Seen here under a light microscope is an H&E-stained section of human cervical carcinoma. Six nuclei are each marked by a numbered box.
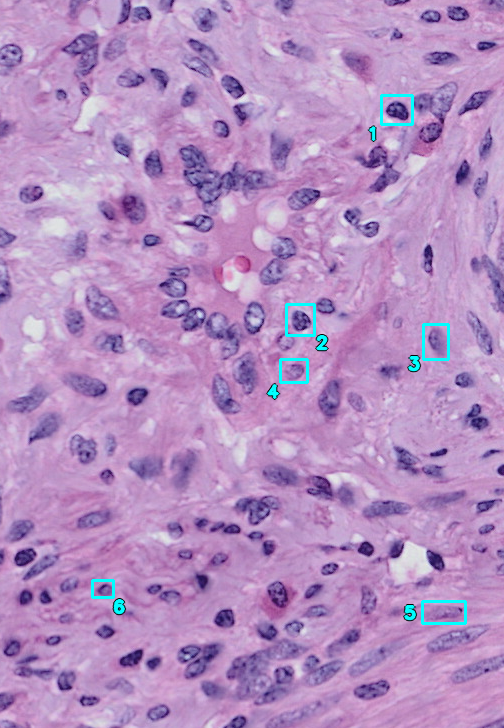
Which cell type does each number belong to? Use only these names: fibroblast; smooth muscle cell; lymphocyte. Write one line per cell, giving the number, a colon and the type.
1: lymphocyte
2: lymphocyte
3: fibroblast
4: smooth muscle cell
5: smooth muscle cell
6: smooth muscle cell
